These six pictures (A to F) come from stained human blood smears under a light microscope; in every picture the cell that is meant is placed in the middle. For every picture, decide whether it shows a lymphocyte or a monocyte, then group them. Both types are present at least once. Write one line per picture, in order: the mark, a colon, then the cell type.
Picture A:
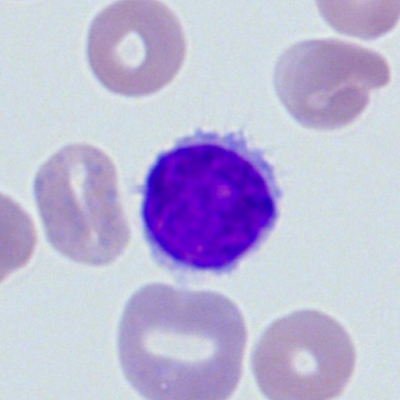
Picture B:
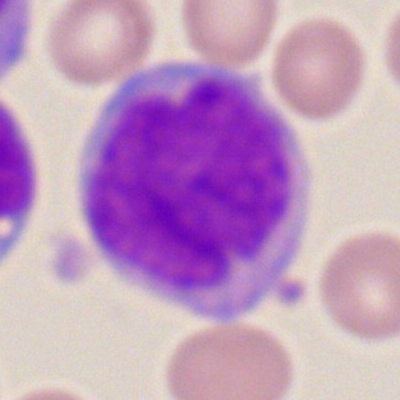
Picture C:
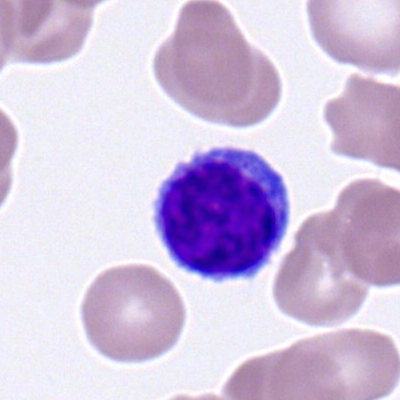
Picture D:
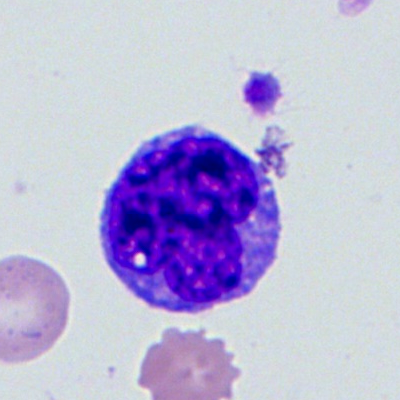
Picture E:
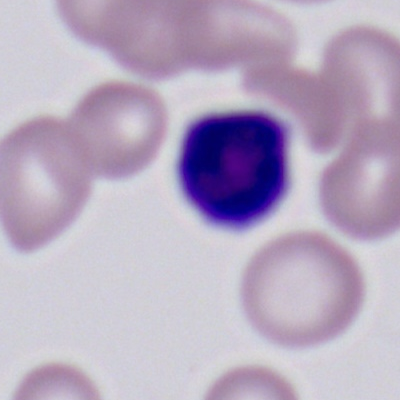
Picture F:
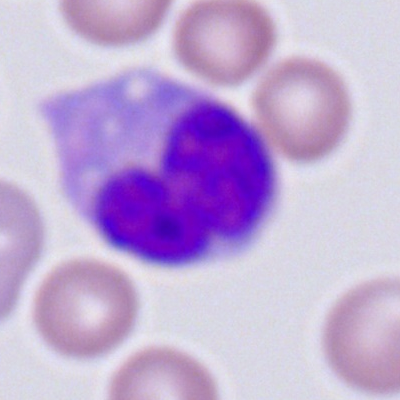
A: lymphocyte
B: monocyte
C: lymphocyte
D: monocyte
E: lymphocyte
F: monocyte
